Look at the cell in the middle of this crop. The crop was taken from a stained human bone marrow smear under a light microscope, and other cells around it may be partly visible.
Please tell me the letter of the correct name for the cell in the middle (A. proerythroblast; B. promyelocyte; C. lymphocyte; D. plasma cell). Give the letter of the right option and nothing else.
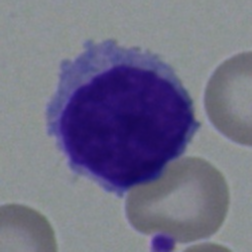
C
